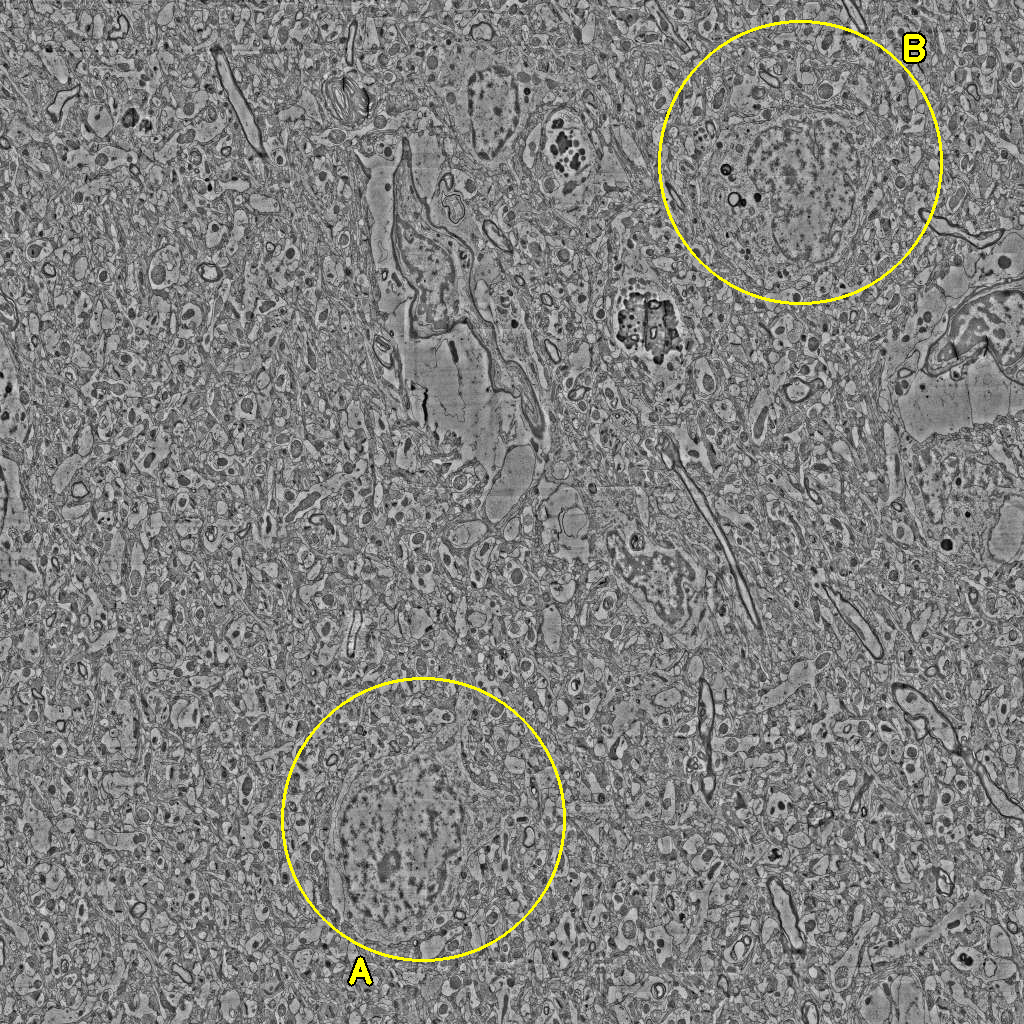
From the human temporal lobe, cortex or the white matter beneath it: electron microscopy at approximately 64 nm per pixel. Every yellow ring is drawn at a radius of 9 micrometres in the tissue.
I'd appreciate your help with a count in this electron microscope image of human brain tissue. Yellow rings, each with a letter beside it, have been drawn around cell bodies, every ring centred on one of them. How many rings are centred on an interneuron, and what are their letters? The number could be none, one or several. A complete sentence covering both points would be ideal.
When the rings with the letters A and B are counted, they come to two, each centred on an interneuron.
